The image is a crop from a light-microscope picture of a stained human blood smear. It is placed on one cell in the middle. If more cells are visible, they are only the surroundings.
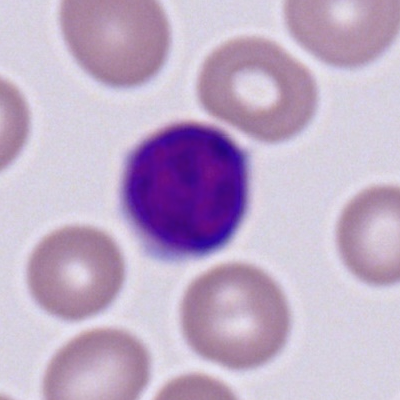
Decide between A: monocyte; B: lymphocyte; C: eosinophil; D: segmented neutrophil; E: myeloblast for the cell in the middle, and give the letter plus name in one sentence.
The cell placed in the middle is a lymphocyte; option B is correct.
